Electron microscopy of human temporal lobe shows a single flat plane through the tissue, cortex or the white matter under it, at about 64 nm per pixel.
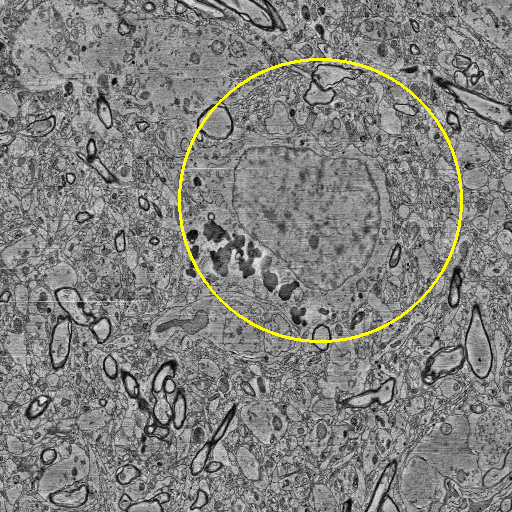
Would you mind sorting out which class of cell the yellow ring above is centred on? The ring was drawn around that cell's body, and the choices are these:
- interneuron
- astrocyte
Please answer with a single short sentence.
This is the cell body of an interneuron.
